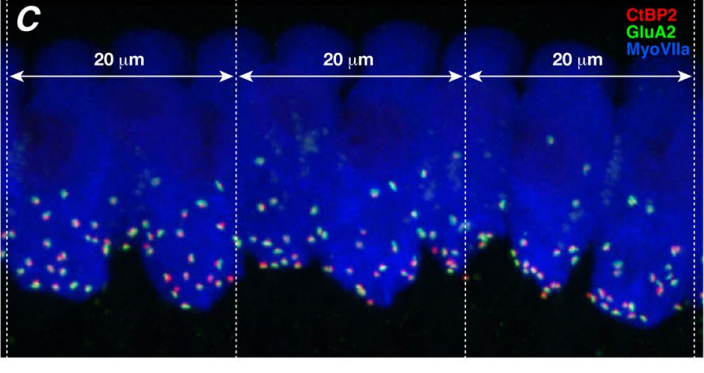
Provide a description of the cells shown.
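A row of closely packed cells is filled with blue. Their rounded bodies narrow toward the bottom of the field. Many tiny red and green dots sit along the lower edges of these cells. Most of them are close red-green pairs that touch or partly overlap. A few green dots lie higher up, over the cell bodies.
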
